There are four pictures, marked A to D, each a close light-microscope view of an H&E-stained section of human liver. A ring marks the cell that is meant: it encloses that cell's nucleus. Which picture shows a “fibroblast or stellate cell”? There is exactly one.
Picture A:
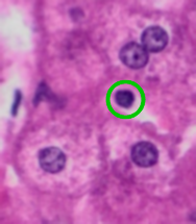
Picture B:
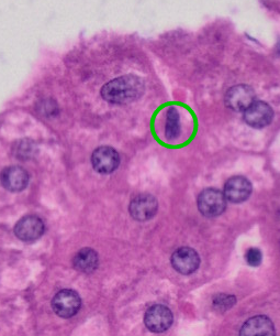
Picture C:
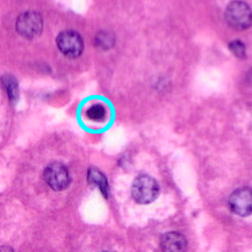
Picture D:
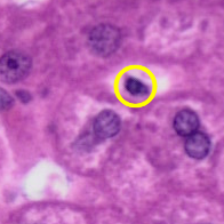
B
